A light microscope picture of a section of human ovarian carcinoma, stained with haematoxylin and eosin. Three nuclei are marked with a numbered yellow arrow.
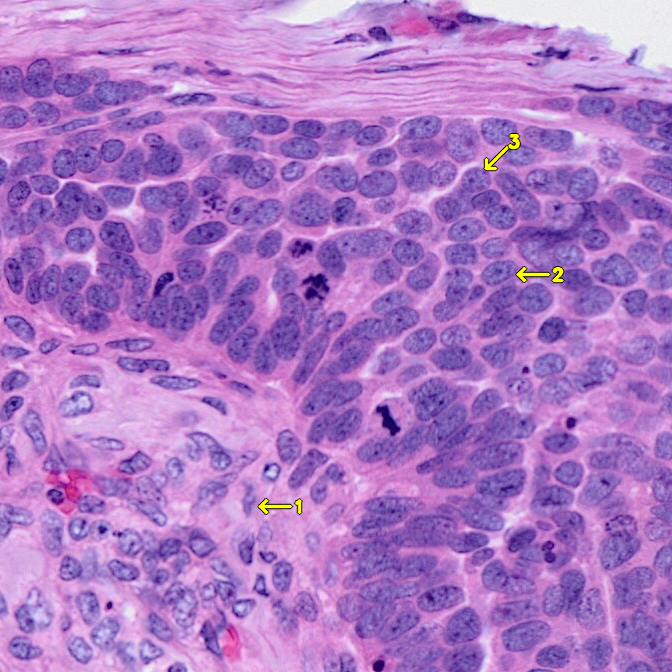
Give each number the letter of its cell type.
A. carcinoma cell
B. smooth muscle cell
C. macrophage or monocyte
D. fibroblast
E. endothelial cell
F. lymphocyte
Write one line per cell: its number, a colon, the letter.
1: D
2: A
3: A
